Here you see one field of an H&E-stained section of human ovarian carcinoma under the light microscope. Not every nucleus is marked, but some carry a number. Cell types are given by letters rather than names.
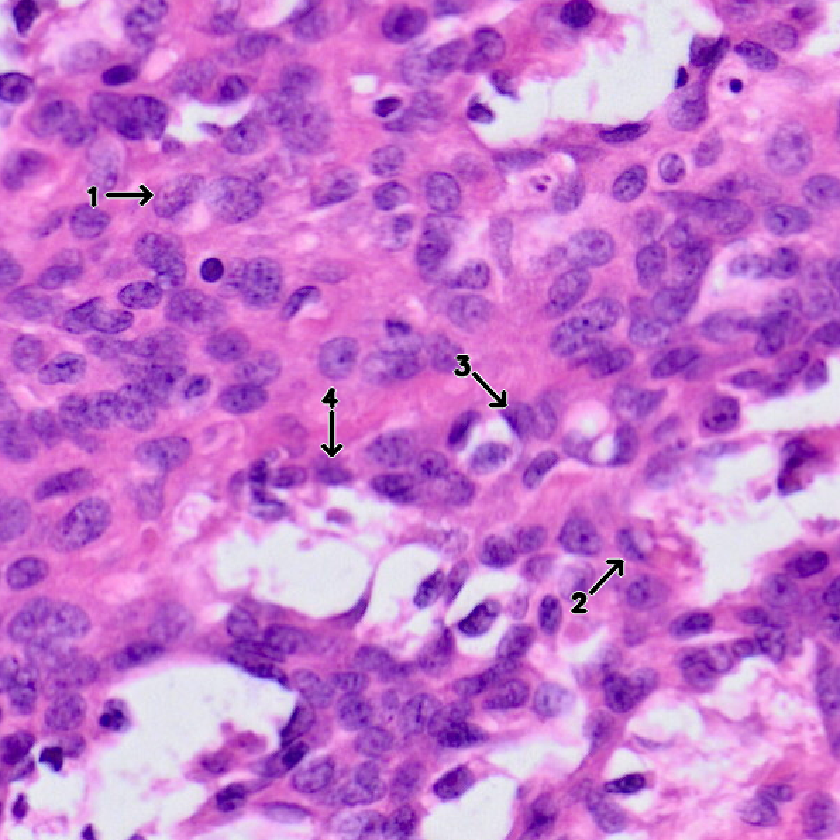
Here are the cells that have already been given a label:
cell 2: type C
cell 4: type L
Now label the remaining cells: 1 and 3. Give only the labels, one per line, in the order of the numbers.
type L
type L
